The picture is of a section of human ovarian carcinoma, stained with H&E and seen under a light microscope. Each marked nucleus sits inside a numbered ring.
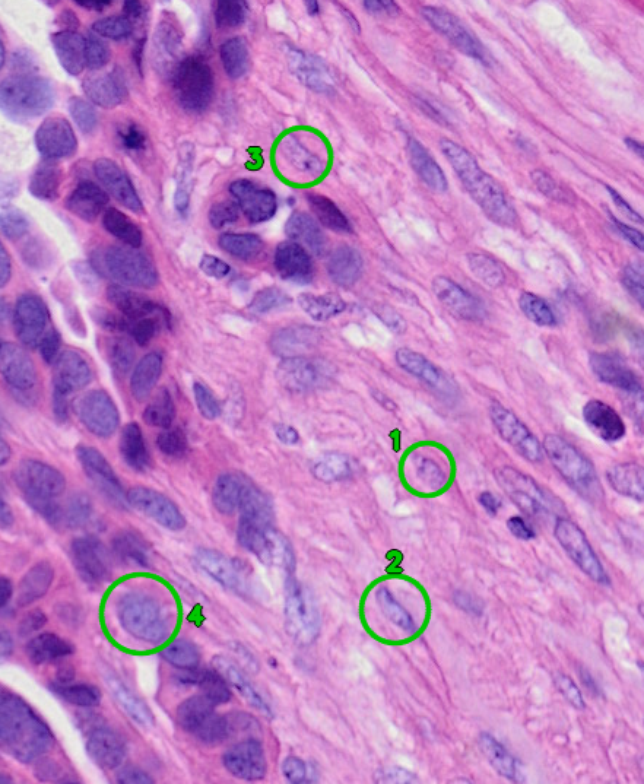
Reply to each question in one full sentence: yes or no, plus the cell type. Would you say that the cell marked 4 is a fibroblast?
No, not a fibroblast: the cell with number 4 is a carcinoma cell.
